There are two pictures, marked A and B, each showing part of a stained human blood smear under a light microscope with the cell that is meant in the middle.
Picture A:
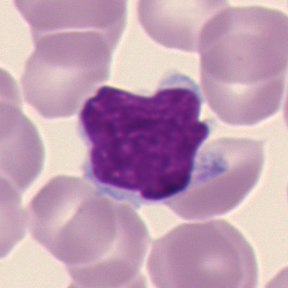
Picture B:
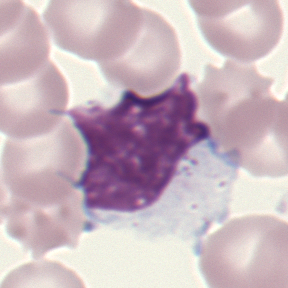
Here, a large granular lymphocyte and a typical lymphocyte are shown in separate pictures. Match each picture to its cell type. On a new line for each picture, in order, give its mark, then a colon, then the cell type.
A: typical lymphocyte
B: large granular lymphocyte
